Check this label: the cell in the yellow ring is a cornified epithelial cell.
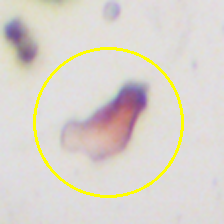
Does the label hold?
The label holds; the cell is a cornified epithelial cell.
